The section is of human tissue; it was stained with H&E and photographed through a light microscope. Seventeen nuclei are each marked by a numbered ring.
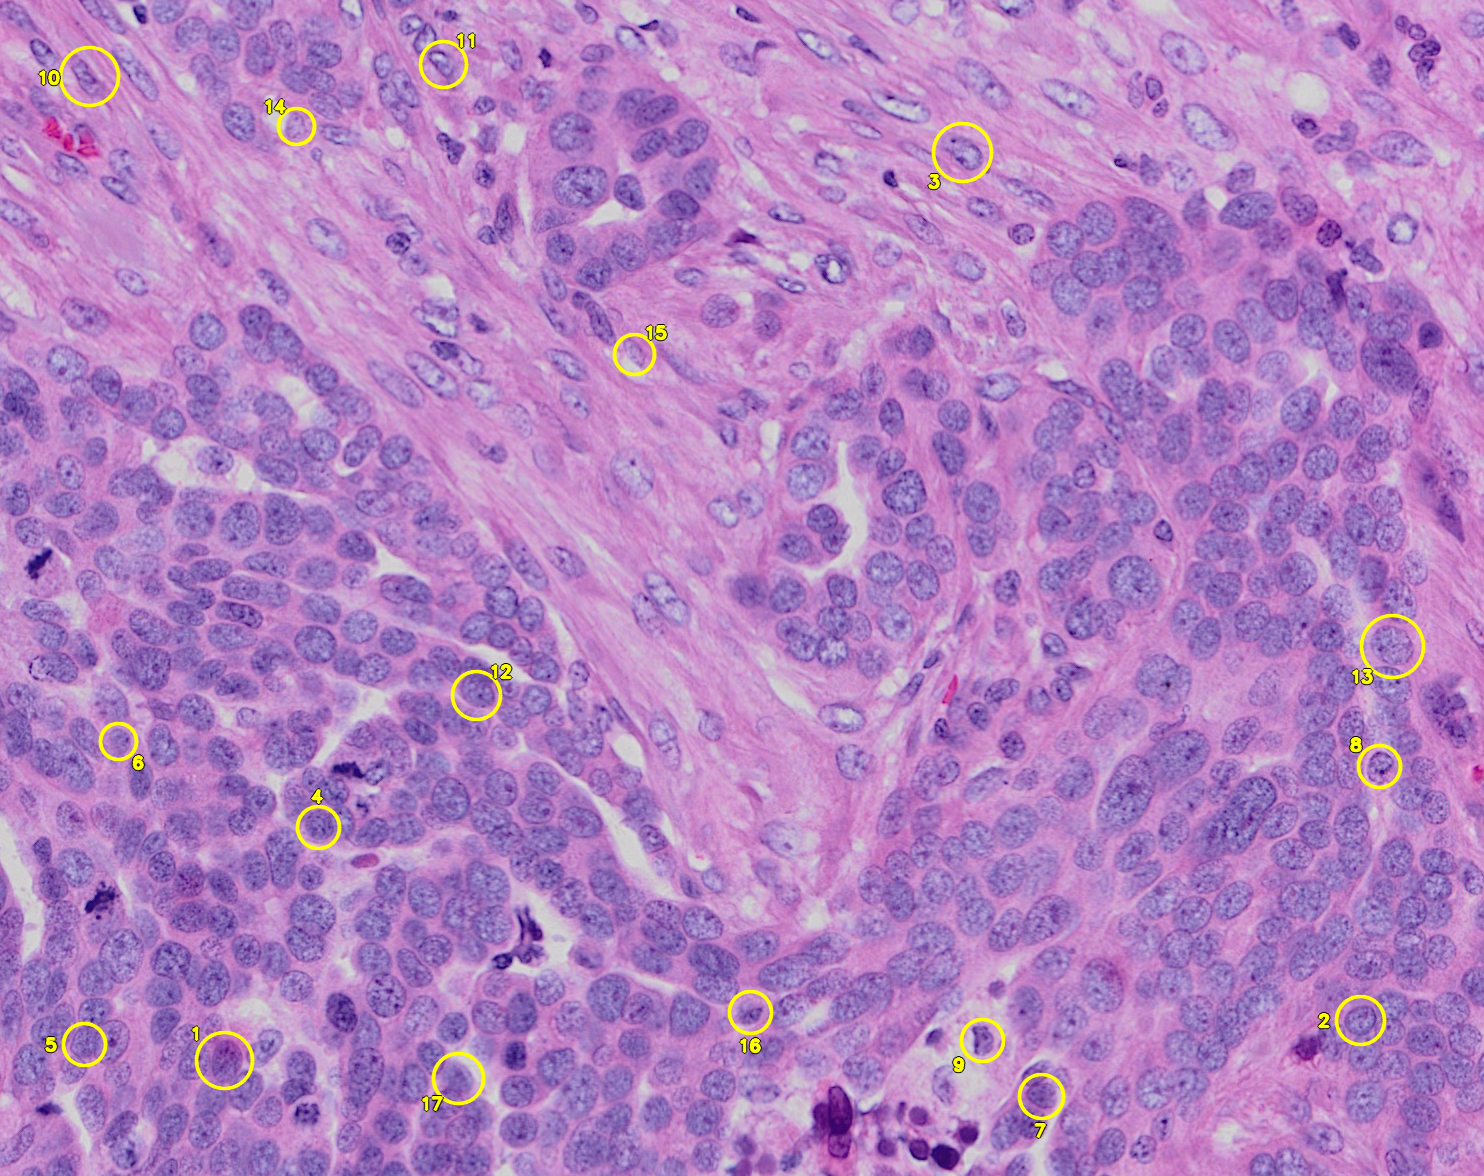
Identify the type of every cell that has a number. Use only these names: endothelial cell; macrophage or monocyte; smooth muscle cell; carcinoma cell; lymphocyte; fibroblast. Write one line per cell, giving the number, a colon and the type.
1: carcinoma cell
2: carcinoma cell
3: fibroblast
4: carcinoma cell
5: carcinoma cell
6: carcinoma cell
7: carcinoma cell
8: macrophage or monocyte
9: macrophage or monocyte
10: fibroblast
11: fibroblast
12: carcinoma cell
13: carcinoma cell
14: fibroblast
15: fibroblast
16: macrophage or monocyte
17: carcinoma cell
